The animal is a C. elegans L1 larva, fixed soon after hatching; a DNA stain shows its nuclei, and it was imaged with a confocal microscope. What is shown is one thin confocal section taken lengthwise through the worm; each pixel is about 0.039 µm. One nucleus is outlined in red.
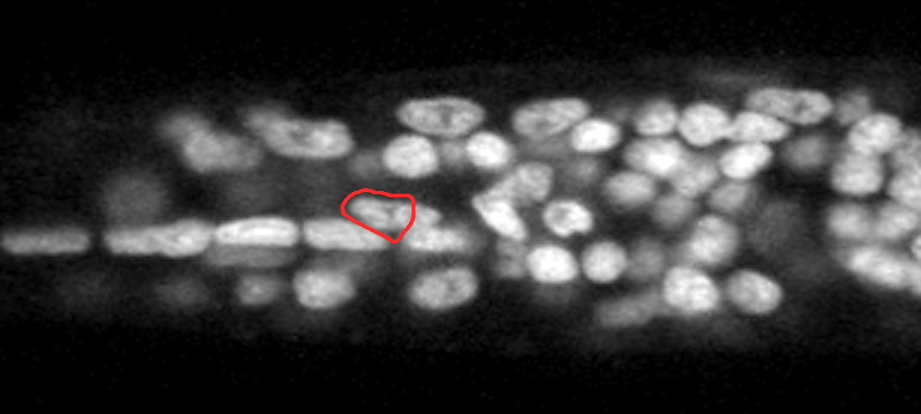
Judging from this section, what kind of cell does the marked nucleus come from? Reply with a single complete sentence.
The marked cell is a pharyngeal muscle cell.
